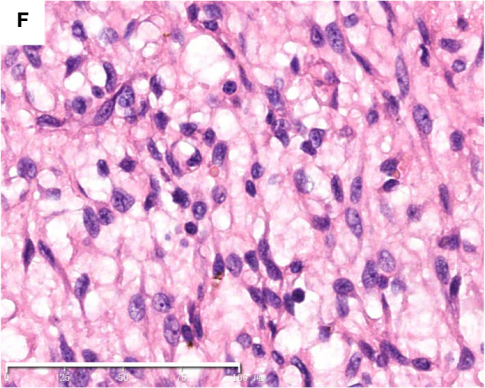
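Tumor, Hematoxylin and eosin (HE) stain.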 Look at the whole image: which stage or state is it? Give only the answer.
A: Bland appearance.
